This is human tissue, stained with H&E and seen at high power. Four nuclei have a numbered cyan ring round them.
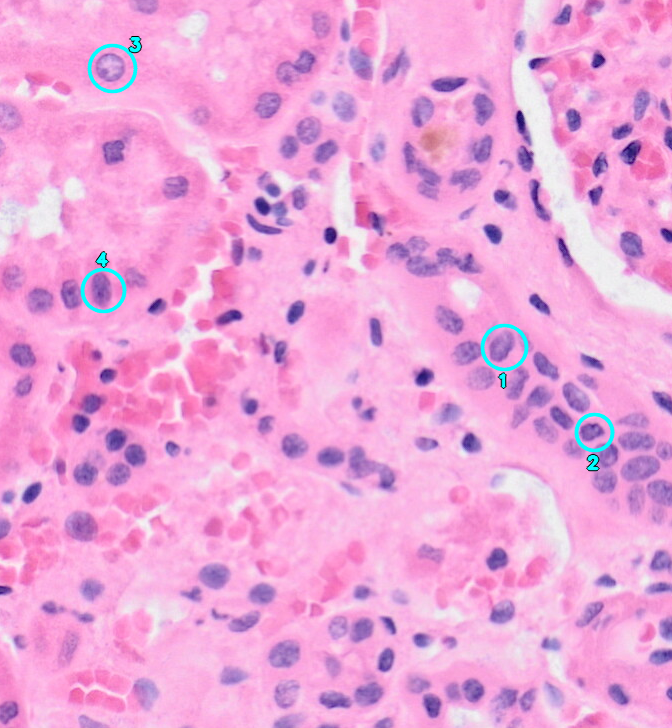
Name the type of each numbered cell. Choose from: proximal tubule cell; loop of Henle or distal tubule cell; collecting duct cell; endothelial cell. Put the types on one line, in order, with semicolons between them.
collecting duct cell; collecting duct cell; proximal tubule cell; proximal tubule cell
